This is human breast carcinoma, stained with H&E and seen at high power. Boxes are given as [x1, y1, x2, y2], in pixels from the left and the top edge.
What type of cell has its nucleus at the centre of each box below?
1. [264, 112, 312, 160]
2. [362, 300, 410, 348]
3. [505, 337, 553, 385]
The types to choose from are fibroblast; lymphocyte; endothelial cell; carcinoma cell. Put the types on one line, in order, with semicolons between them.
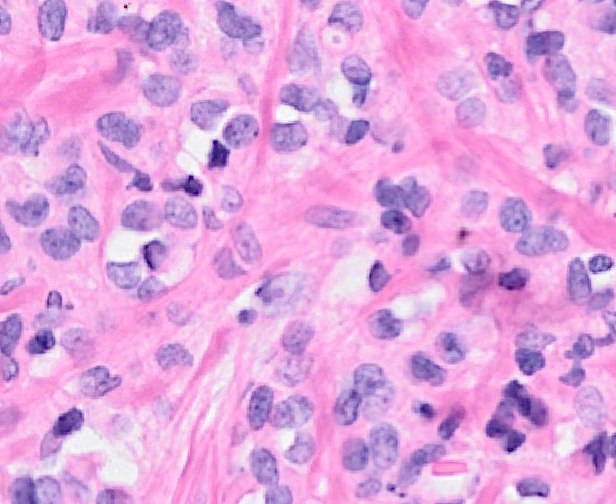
carcinoma cell; carcinoma cell; lymphocyte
